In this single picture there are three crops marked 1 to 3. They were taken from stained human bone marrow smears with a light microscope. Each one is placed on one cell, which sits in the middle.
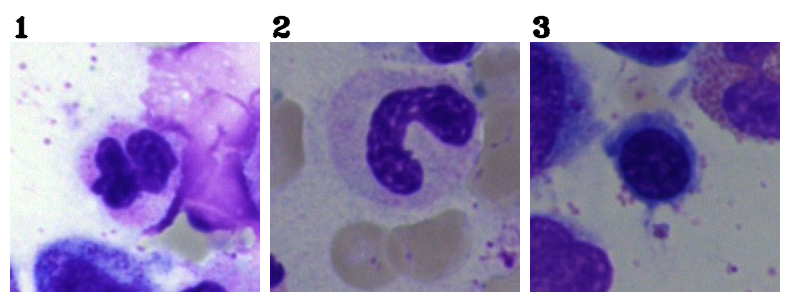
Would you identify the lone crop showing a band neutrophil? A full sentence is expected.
The crop marked 2 is the one that shows a band neutrophil.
